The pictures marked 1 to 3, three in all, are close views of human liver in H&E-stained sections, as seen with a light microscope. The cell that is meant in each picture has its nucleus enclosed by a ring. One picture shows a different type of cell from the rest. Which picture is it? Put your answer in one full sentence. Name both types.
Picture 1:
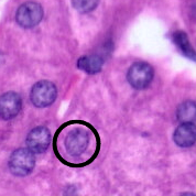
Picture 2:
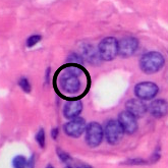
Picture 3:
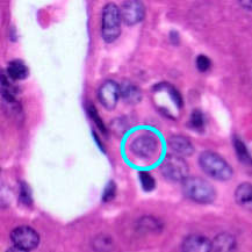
All pictures except 1 show cholangiocytes; picture 1 shows a hepatocyte.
